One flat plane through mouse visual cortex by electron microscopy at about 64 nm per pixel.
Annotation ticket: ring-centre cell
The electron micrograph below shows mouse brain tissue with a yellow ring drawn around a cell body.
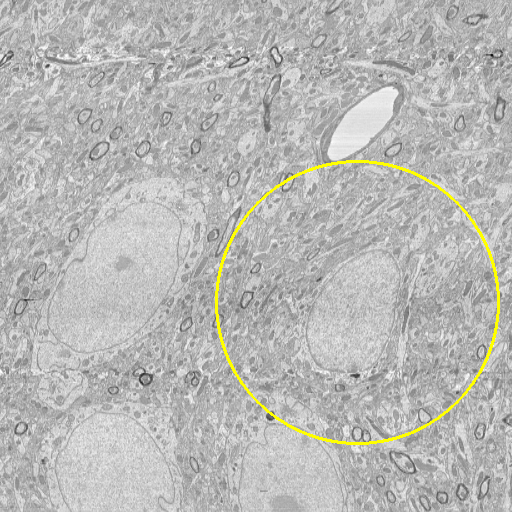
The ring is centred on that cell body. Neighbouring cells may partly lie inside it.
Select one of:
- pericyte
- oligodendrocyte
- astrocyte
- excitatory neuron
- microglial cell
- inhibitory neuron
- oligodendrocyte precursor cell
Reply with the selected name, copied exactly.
astrocyte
